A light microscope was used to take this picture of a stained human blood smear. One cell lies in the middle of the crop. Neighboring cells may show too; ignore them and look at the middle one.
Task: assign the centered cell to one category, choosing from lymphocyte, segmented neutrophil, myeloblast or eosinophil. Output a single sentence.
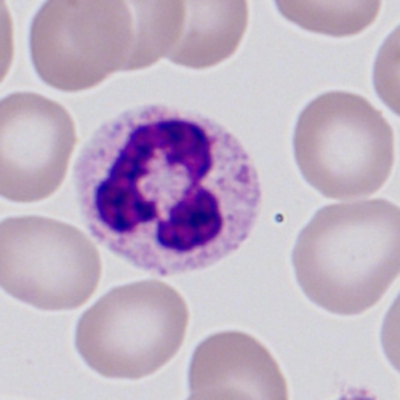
Centred in the crop is a segmented neutrophil.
